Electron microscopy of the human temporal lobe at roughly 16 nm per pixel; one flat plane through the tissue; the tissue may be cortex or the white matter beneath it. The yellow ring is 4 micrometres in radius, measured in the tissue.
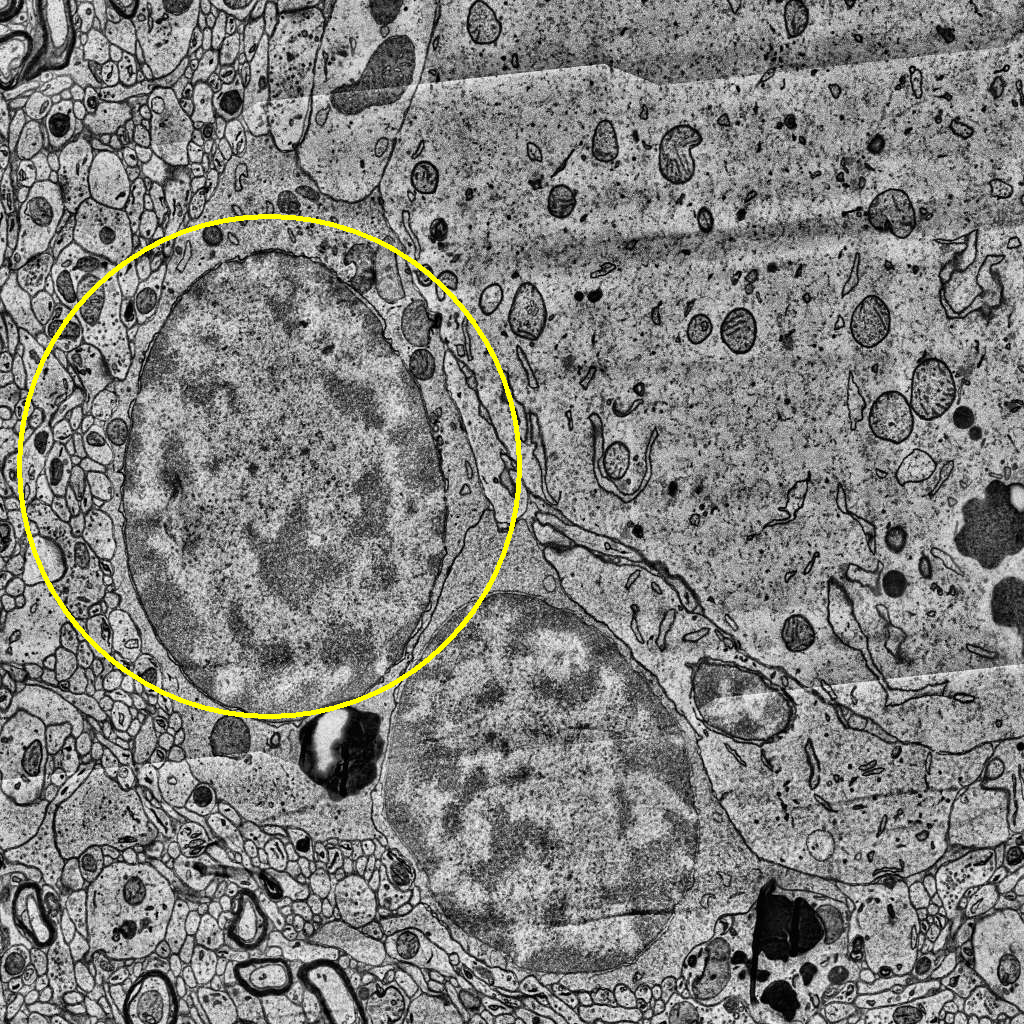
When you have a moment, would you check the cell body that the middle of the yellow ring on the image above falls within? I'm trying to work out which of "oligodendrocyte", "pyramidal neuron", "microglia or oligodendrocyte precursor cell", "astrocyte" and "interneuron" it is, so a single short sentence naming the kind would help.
This cell body belongs to an oligodendrocyte.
